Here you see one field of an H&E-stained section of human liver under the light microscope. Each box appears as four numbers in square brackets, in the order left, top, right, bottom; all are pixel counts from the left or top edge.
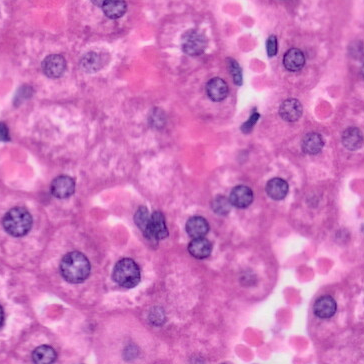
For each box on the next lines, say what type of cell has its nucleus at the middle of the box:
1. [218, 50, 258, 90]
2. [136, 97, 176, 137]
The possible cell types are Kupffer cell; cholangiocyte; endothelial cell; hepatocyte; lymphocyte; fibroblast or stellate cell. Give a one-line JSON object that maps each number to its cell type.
{"1": "endothelial cell", "2": "hepatocyte"}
